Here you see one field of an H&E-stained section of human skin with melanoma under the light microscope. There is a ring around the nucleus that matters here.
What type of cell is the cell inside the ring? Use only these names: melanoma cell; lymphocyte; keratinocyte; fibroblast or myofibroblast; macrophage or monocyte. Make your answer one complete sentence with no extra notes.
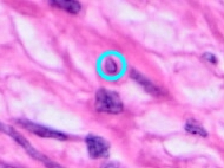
In this preparation, the cell inside the ring is a macrophage or monocyte.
